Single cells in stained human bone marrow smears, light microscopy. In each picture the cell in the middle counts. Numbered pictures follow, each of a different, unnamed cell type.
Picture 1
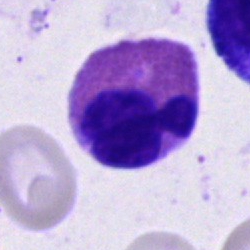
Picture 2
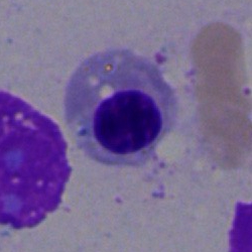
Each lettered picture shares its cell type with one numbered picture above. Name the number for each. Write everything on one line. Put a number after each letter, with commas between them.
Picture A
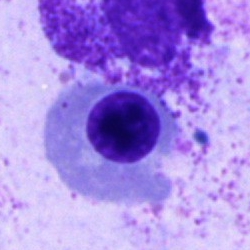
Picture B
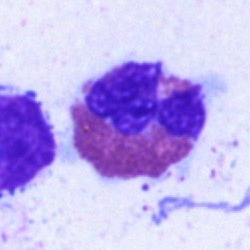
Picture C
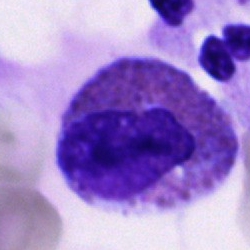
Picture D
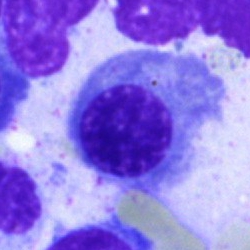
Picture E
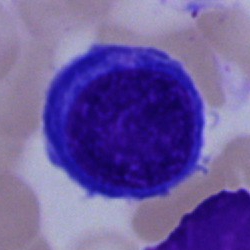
A 2, B 1, C 1, D 2, E 2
